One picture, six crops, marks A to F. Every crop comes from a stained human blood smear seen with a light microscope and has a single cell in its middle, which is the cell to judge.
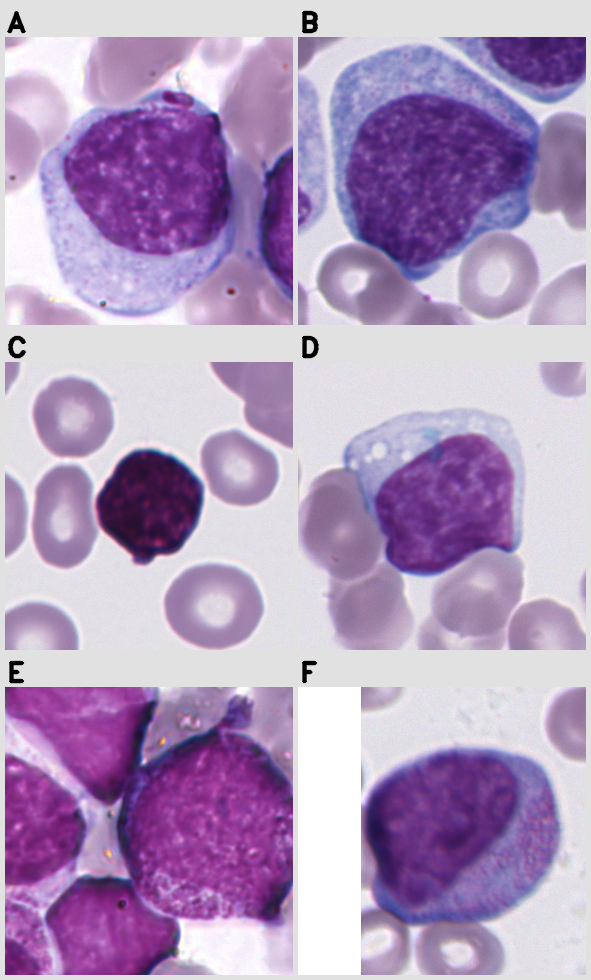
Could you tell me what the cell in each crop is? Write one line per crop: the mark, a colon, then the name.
A: promyelocyte
B: promyelocyte
C: myeloblast
D: myeloblast
E: promyelocyte
F: promyelocyte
